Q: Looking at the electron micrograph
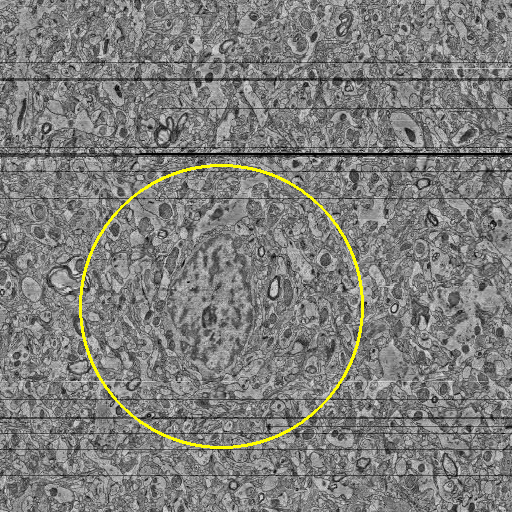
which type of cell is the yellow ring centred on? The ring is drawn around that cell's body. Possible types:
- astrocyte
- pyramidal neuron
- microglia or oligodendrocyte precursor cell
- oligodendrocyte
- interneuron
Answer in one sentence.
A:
The yellow ring is centred on an oligodendrocyte.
